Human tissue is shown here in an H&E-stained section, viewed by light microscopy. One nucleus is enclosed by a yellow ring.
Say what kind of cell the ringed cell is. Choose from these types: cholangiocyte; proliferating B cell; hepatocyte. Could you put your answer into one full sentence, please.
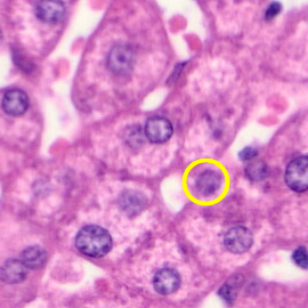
Speaking plainly, the ringed cell is nothing other than a hepatocyte.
